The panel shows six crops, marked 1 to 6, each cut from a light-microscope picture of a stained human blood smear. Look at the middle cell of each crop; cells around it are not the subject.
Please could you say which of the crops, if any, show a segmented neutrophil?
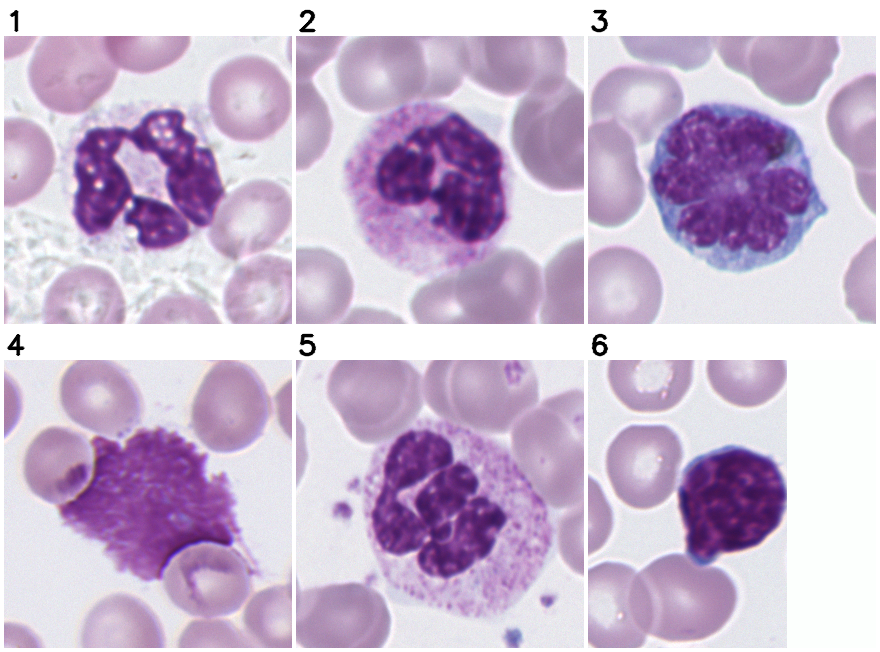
1, 2, 5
